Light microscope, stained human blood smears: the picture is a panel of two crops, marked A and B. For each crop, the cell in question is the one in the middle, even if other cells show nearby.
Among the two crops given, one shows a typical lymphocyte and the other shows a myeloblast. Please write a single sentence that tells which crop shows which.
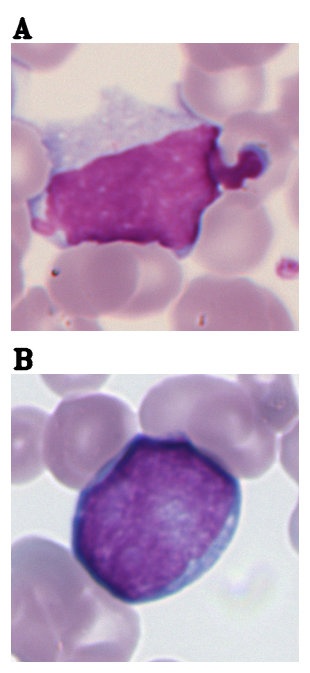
The cell that crop A centres on is a typical lymphocyte, and the cell that crop B centres on is a myeloblast.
